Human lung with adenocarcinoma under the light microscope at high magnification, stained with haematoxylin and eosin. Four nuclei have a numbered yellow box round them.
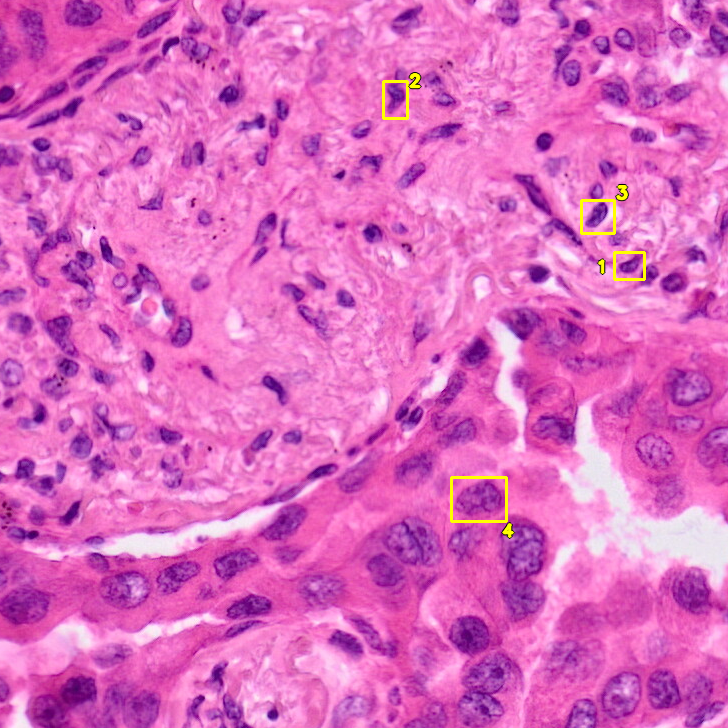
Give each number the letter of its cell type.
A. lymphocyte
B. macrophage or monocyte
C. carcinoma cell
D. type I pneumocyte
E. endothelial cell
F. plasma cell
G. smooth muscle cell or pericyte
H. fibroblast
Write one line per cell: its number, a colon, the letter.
1: F
2: G
3: A
4: C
